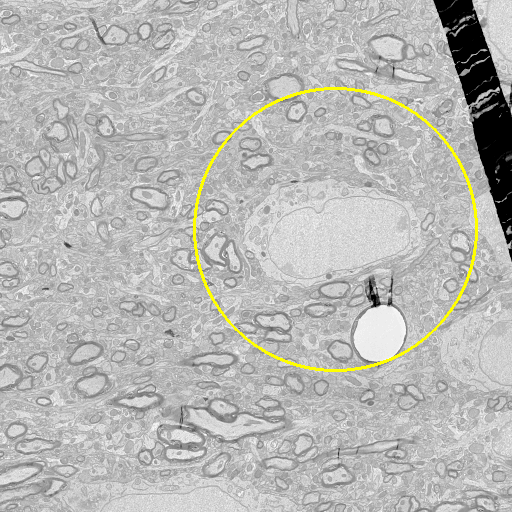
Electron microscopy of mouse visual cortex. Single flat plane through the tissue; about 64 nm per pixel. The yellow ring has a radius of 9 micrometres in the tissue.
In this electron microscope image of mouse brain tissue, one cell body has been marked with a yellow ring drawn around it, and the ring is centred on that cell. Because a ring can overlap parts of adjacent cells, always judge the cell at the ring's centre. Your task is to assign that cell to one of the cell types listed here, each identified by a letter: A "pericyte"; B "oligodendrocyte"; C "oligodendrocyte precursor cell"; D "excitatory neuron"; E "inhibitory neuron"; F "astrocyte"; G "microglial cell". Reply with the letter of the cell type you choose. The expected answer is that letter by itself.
D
